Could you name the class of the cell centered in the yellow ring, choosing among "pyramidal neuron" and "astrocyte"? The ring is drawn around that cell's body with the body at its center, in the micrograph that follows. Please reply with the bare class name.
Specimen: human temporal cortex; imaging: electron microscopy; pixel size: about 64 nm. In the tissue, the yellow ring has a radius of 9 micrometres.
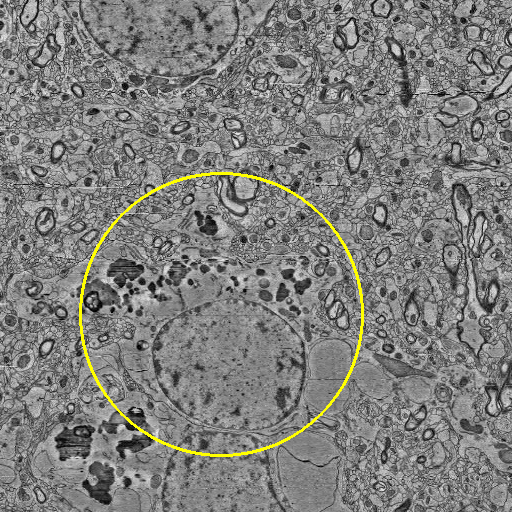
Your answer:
astrocyte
